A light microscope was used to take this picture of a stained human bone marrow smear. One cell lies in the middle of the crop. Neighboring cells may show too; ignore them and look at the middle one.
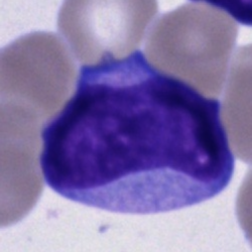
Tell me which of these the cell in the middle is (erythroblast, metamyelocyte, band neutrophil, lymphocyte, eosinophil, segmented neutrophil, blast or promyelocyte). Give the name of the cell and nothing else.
blast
